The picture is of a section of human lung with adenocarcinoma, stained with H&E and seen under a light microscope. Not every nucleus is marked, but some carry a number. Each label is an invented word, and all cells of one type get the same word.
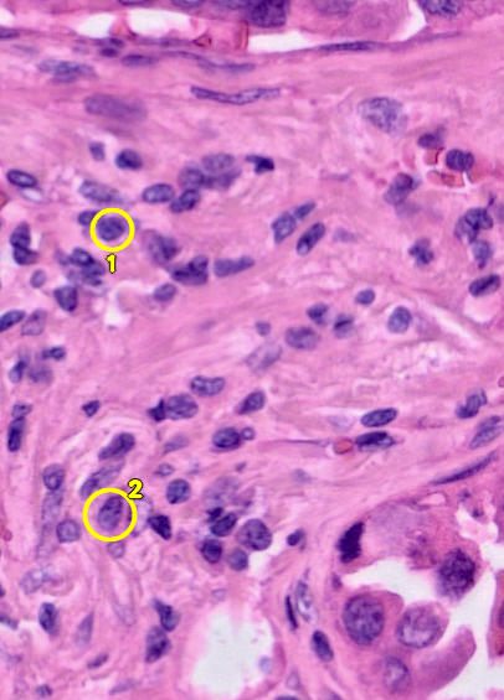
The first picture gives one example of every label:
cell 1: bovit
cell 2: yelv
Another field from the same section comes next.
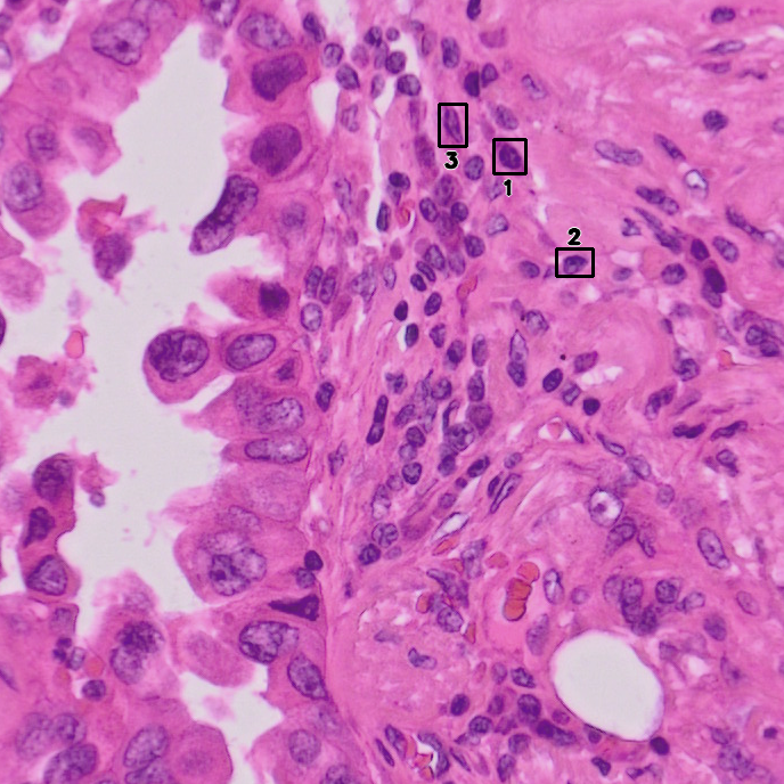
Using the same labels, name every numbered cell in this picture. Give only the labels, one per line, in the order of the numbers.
yelv
bovit
yelv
